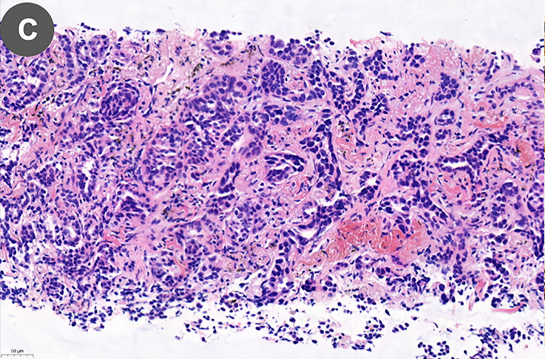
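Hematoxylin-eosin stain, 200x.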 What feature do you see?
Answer: Irregular and ramified tubuloacinar structures.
